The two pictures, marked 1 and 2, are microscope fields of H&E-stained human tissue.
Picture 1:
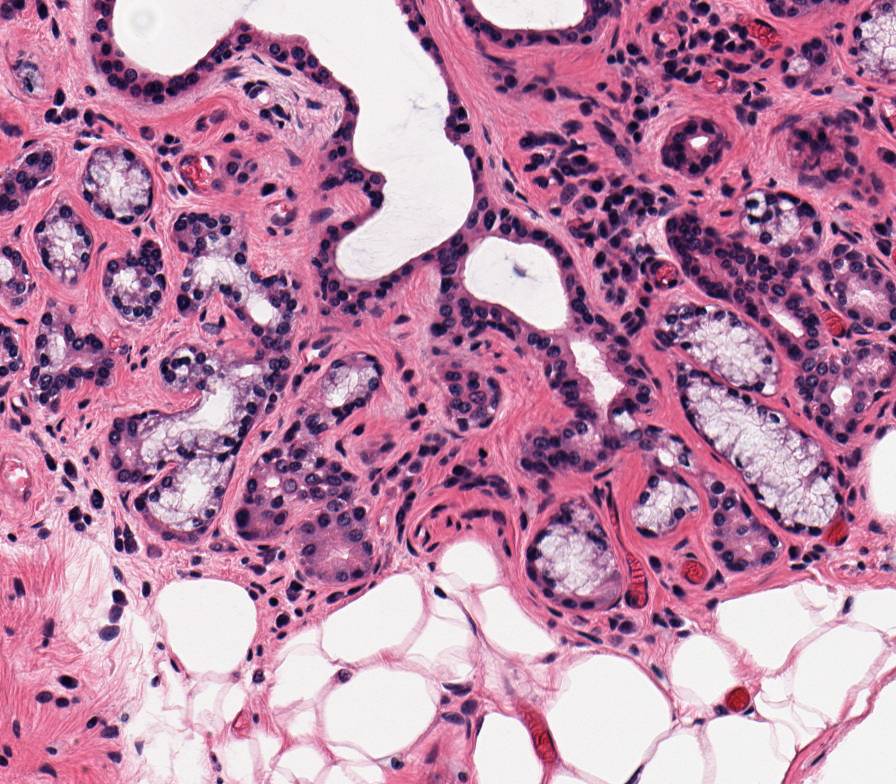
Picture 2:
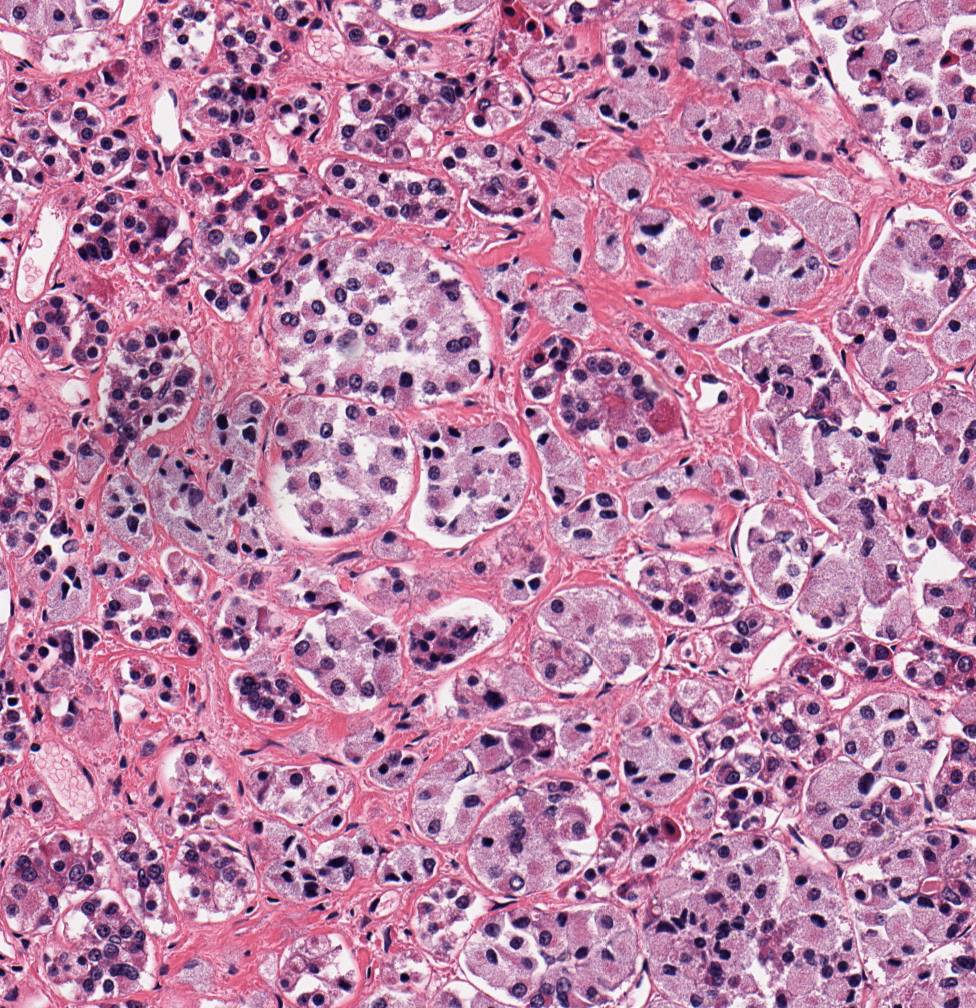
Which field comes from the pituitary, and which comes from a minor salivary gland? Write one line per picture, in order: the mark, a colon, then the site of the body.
1: minor salivary gland
2: pituitary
